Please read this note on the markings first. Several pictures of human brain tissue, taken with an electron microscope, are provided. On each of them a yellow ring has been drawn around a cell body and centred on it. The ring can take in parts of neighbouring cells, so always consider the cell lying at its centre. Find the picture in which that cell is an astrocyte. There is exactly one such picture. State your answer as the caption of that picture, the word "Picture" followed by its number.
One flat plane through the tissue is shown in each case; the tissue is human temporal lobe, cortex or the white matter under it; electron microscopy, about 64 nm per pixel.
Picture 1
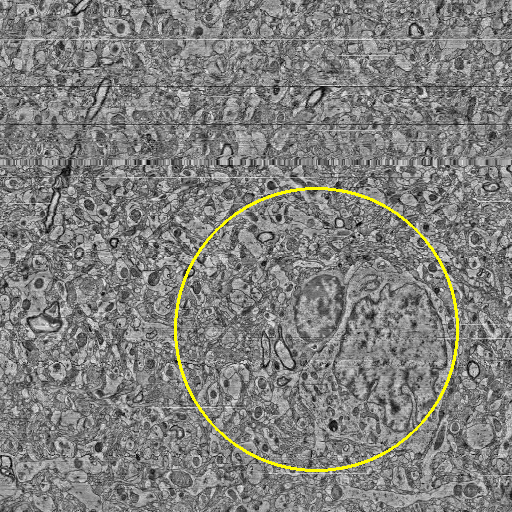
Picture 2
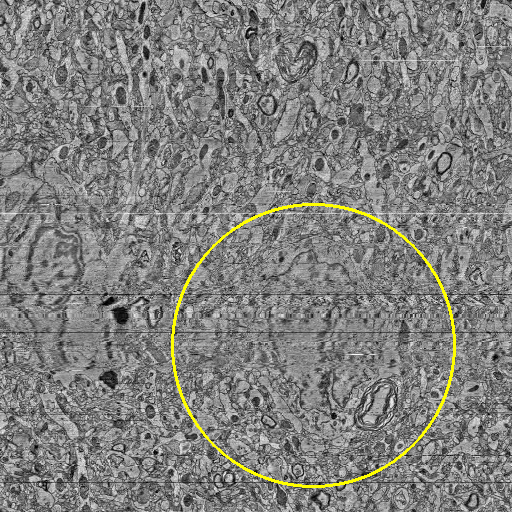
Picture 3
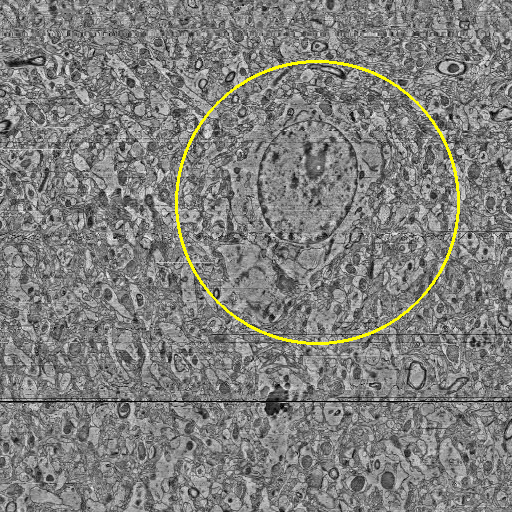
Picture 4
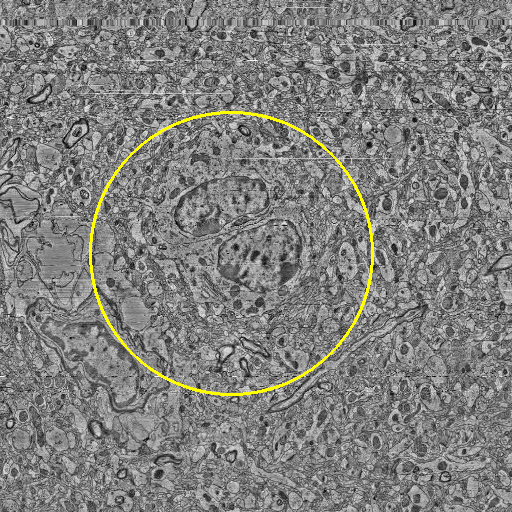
Picture 3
